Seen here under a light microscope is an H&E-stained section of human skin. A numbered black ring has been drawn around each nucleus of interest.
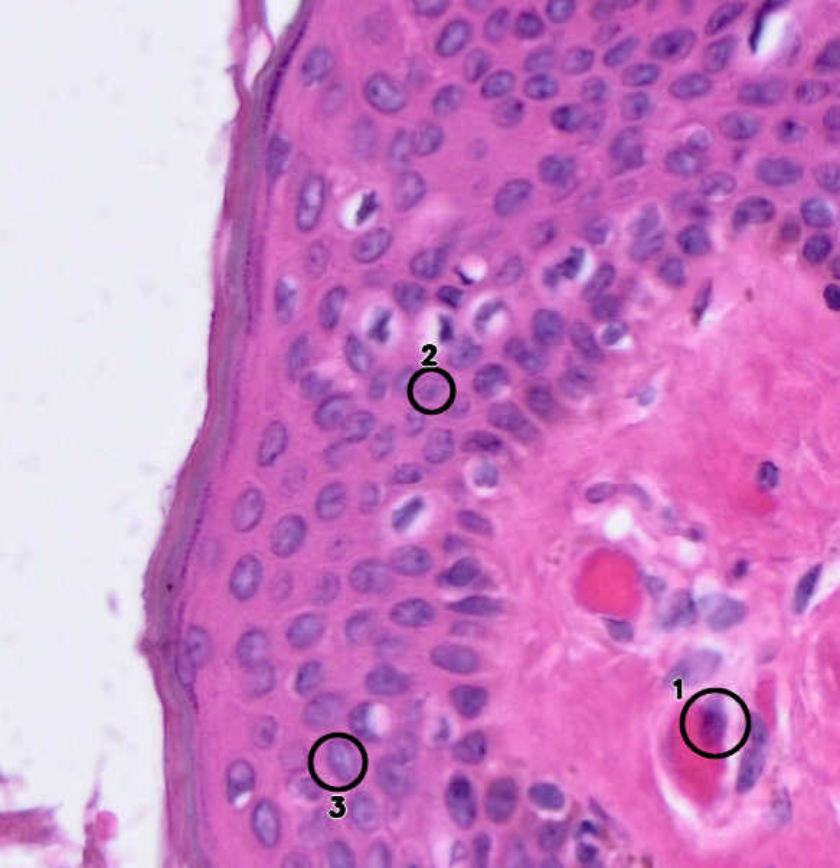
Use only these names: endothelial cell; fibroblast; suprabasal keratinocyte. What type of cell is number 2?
suprabasal keratinocyte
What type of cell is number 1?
endothelial cell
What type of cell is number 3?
suprabasal keratinocyte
